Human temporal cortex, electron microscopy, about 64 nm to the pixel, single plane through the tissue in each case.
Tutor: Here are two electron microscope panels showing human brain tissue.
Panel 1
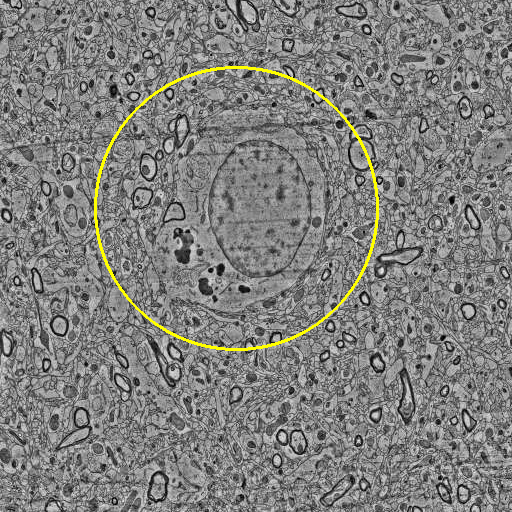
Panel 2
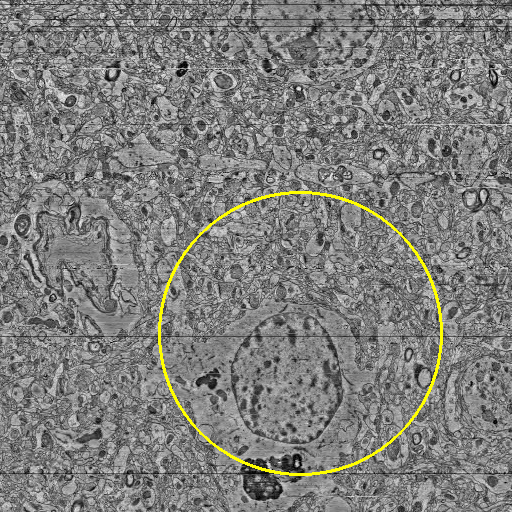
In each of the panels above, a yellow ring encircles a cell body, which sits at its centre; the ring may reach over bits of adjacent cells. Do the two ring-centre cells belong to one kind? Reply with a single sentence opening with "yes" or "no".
Yes, the two cells sitting at the ring centres in the panels belong to one kind.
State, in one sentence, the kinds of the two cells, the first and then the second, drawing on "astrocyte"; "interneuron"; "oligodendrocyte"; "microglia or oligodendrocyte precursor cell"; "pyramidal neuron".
Each of the ringed cells, first and second, is an astrocyte.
